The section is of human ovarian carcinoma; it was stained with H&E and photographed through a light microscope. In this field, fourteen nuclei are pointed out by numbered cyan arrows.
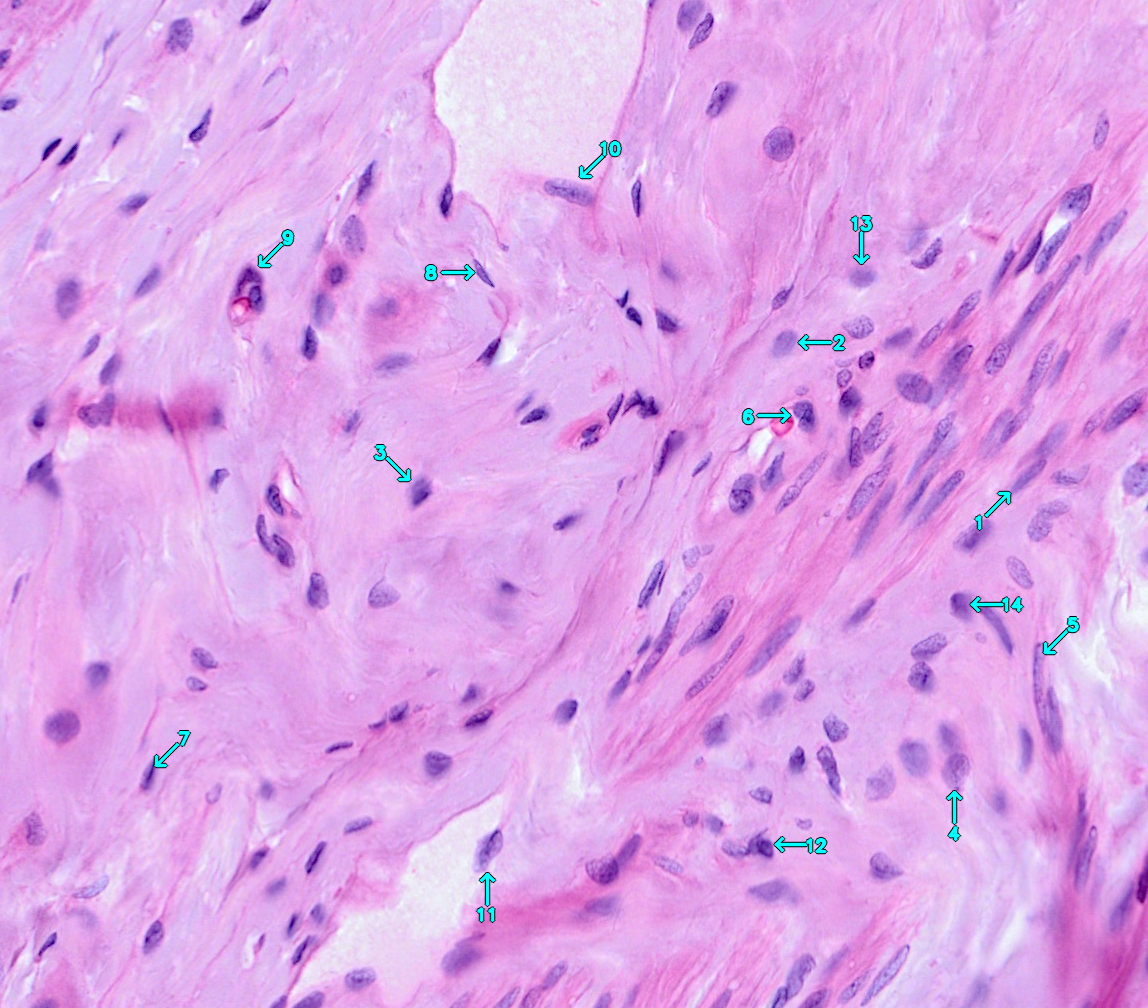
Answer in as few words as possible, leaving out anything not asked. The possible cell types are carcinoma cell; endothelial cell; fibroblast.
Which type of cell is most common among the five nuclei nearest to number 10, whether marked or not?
fibroblast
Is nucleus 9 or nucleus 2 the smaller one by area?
9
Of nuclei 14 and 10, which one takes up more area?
10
